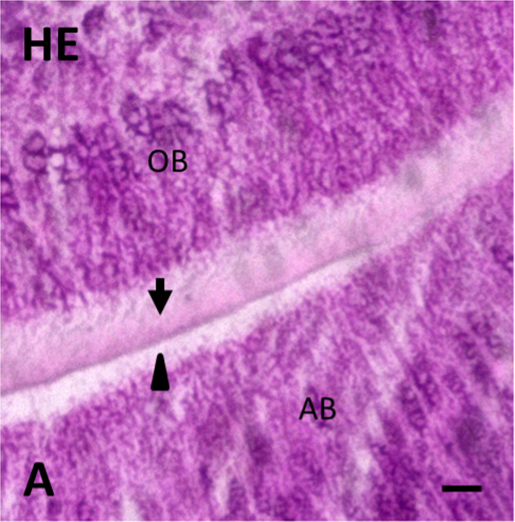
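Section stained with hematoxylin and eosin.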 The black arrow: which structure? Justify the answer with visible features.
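Pre-dentin. The arrow points to a pale pink, cell-free band lying between two layers of tall columnar cells. The band borders the ends of the upper cell layer.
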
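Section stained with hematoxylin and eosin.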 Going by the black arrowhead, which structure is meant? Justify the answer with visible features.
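The arrowhead points to the lower edge of the pale band, where it meets the lower layer of columnar cells.
Answer: early stage enamel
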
